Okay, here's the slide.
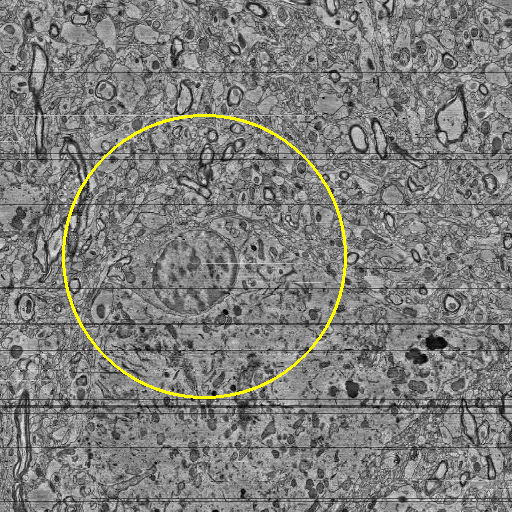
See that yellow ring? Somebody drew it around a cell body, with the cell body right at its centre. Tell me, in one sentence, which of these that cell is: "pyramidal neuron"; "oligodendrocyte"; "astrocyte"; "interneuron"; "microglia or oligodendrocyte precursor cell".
The cell in the middle of the ring is an oligodendrocyte.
